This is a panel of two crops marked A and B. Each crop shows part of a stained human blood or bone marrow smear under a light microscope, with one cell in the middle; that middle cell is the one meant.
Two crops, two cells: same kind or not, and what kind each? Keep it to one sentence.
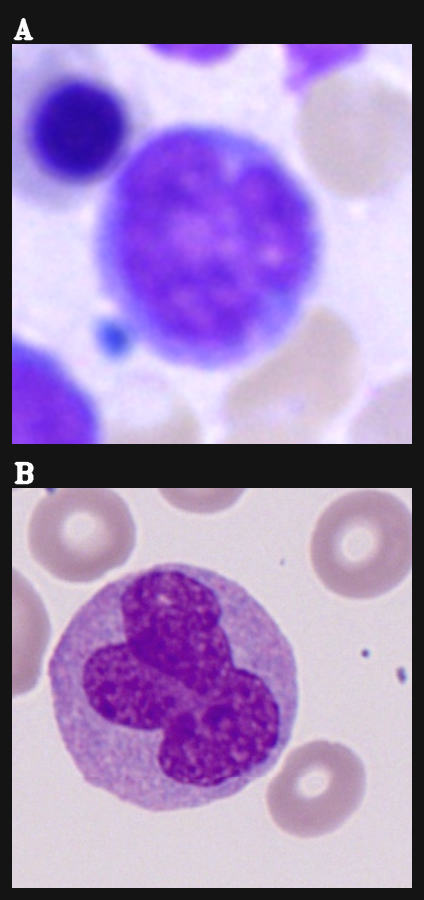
Yes, both crops show monocytes, and that holds for each one.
